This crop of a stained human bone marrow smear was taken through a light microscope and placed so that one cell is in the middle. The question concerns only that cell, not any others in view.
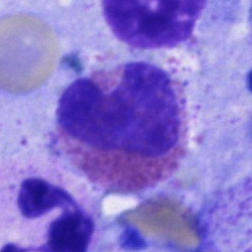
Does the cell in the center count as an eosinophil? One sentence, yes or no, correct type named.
Yes, at the centre of the crop lies an eosinophil.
